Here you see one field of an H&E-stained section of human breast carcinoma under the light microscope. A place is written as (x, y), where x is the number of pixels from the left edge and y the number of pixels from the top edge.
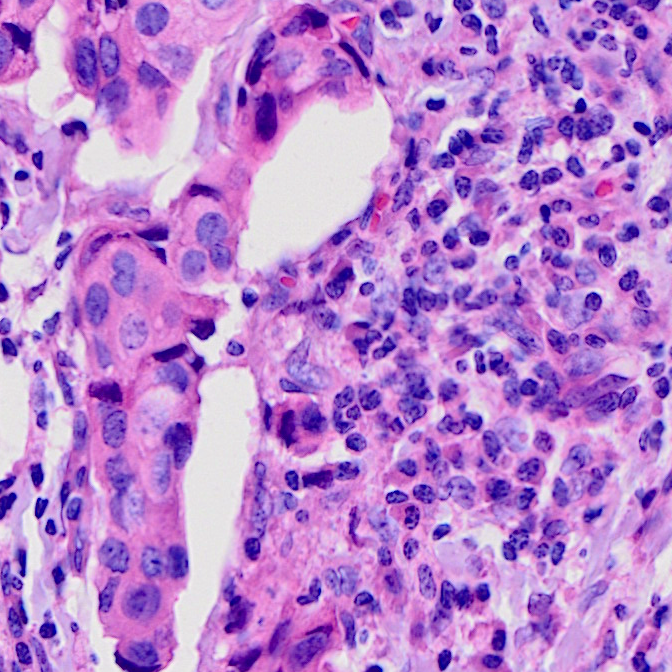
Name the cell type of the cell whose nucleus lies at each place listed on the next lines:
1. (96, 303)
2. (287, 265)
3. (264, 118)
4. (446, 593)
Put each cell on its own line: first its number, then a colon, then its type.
1: carcinoma cell
2: endothelial cell
3: carcinoma cell
4: lymphocyte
